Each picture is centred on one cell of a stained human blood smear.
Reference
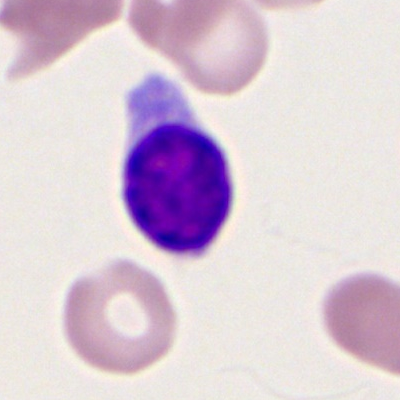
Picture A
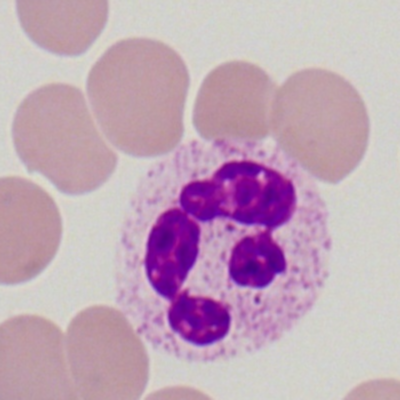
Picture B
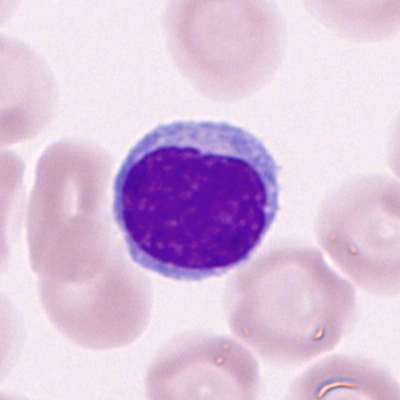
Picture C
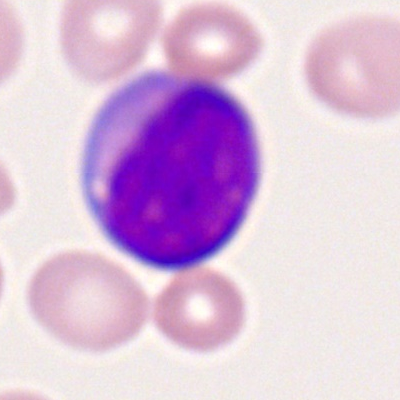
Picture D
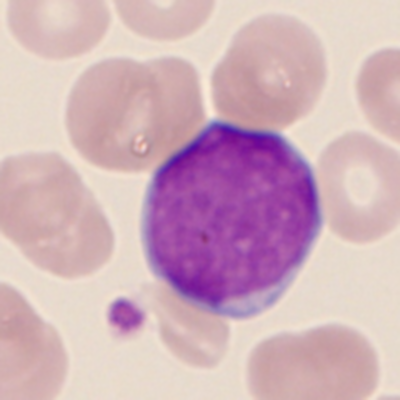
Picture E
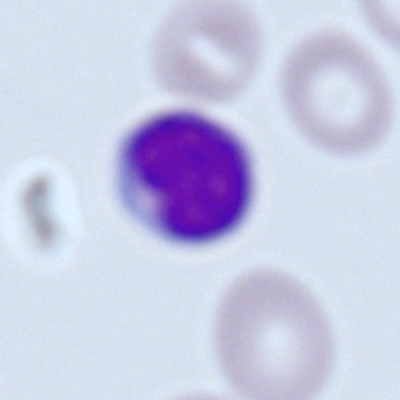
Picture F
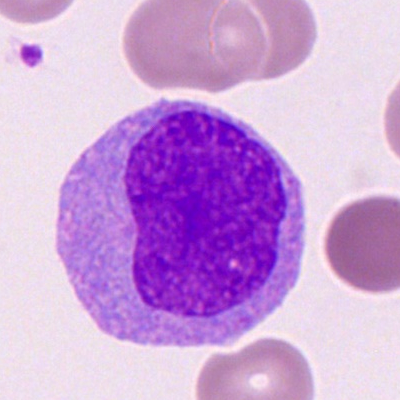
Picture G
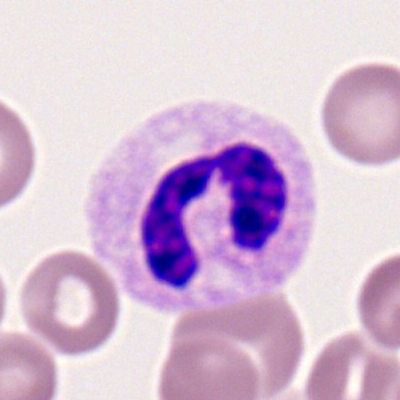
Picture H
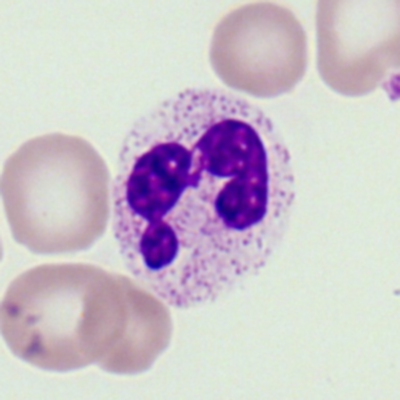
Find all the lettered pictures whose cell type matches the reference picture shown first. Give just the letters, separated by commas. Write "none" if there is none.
B, E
